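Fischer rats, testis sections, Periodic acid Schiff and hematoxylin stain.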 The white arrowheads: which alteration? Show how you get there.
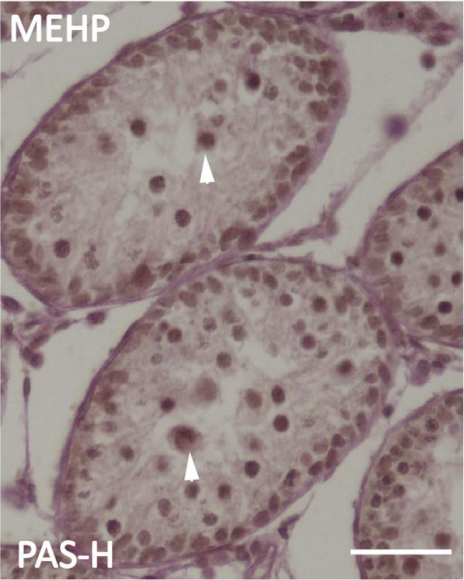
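The arrowheads point to rounded cells with dark nuclei lying toward the middle of the tubule. The epithelium around them is pale and loose rather than densely layered.
Sloughing of the germ cells.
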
